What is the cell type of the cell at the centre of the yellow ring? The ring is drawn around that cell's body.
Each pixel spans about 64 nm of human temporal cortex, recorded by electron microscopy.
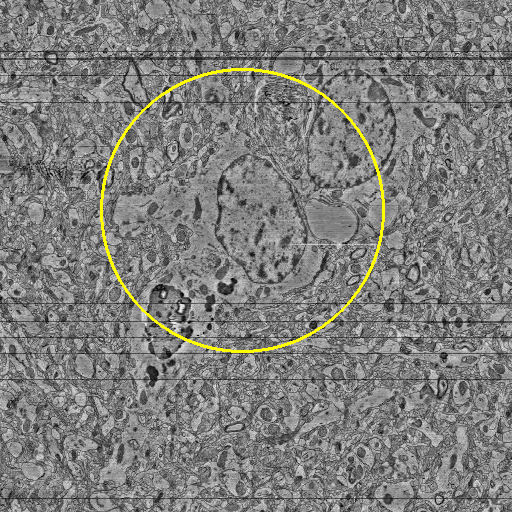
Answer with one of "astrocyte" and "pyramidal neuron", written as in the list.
astrocyte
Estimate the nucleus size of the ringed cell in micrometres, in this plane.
The nucleus has a long axis of about 9 micrometres and a short axis of about 6 micrometres in this plane.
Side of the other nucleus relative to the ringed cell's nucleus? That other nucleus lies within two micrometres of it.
That nucleus lies to the upper right of it.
